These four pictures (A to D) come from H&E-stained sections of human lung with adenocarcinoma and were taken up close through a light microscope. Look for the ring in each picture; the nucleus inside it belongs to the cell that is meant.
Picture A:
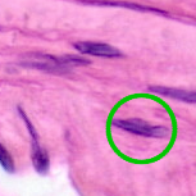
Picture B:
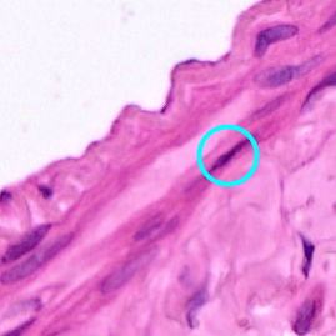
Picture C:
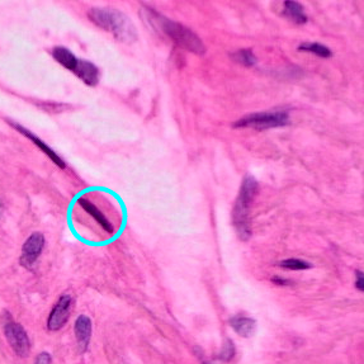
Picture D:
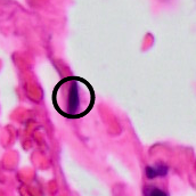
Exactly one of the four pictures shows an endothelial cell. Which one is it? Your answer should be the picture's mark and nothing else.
D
